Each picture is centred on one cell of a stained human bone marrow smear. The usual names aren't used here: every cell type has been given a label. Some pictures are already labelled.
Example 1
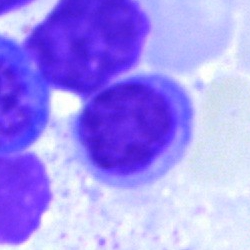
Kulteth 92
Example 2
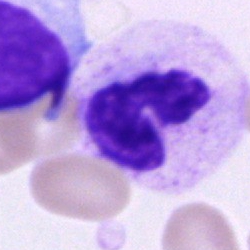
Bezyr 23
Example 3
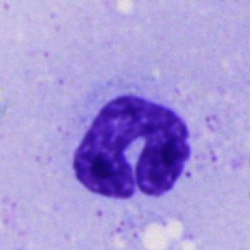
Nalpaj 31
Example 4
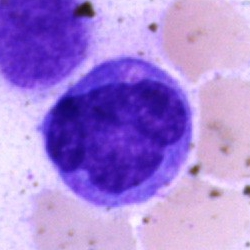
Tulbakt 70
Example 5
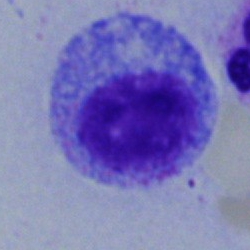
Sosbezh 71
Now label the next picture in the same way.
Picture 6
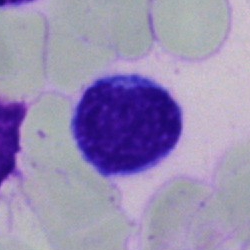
Kulteth 92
